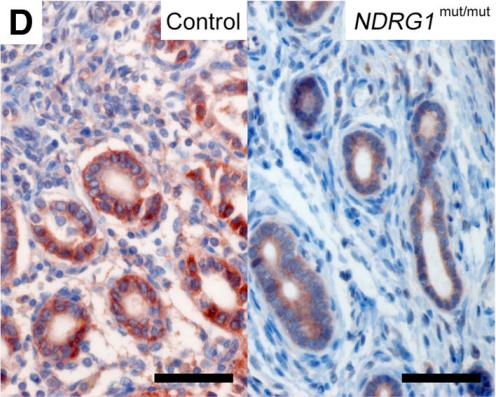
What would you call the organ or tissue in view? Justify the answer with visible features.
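Small round tubular glands lined by a single epithelial layer. Glands lie in a cellular stroma of spindle-shaped cells. On this evidence: endometrium.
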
